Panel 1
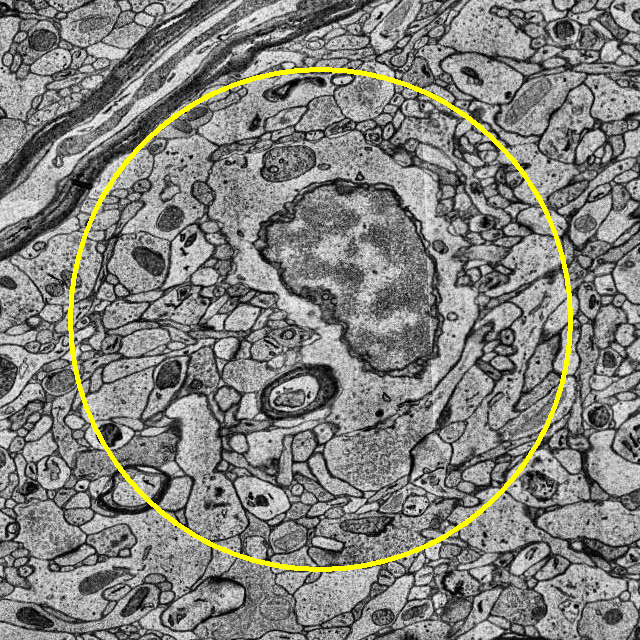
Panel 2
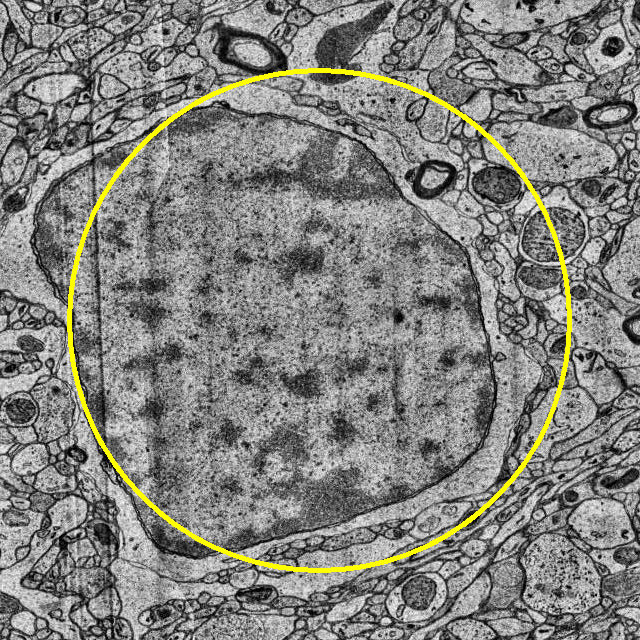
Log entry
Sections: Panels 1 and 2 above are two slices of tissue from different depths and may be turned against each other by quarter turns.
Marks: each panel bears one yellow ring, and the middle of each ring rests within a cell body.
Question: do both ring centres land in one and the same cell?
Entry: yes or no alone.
yes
